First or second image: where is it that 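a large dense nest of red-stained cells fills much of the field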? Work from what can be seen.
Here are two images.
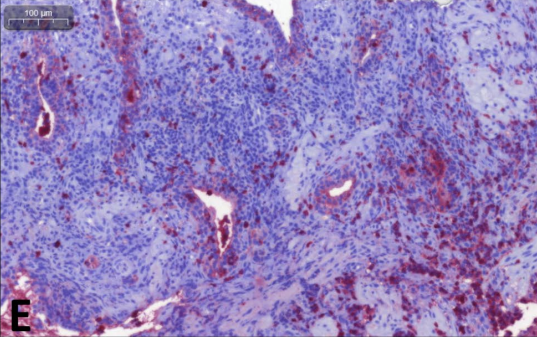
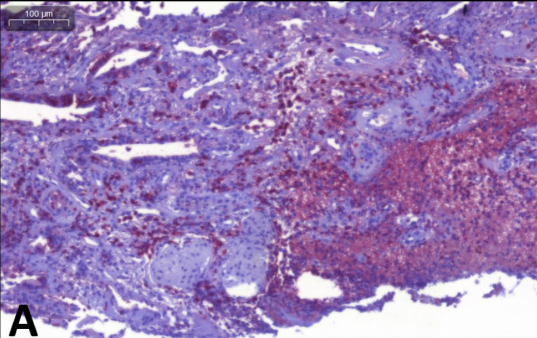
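The second image. First image: red-stained cells are scattered singly or in small groups in a dense stroma. Second image: a compact mass of red-stained cells occupies the right half of the field.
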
